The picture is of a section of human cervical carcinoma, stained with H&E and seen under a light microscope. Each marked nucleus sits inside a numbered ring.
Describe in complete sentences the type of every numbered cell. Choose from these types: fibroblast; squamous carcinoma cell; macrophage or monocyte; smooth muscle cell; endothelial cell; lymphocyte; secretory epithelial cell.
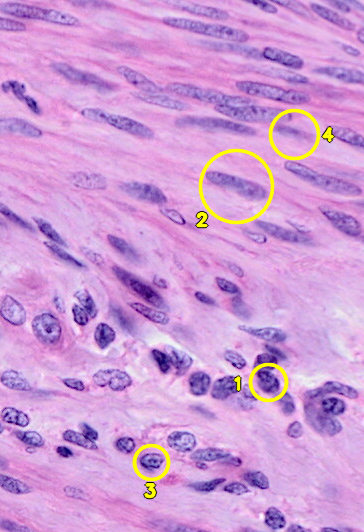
Cell 1 is a lymphocyte. Cells 2, 3 and 4 are smooth muscle cells.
